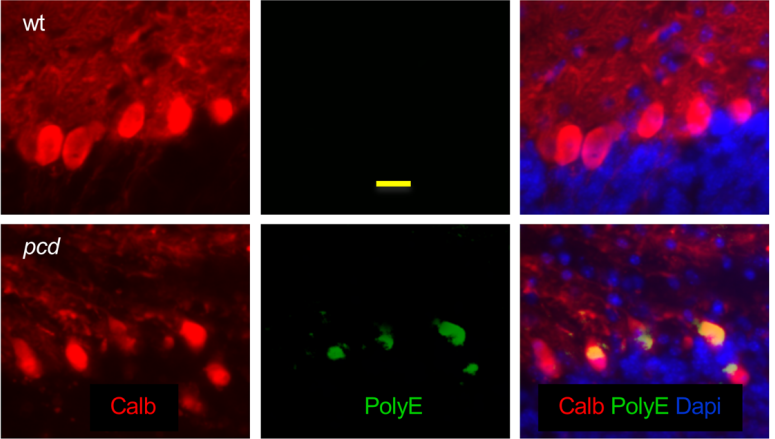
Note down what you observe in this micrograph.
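In this cerebellar cortex, a single row of large, rounded red cell bodies lines the border between a layer of red fibres above and a densely packed layer of small blue nuclei below. Thin red processes rise from the cell bodies into the upper layer. In the upper row of images, the green channel is dark. In the lower row, several of the large red cell bodies carry bright green clumps, which appear yellow where red and green overlap in the merged image. The red cells in the lower row look somewhat sparser and less regularly spaced. These large cells are Purkinje neurons sitting above the granular layer.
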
